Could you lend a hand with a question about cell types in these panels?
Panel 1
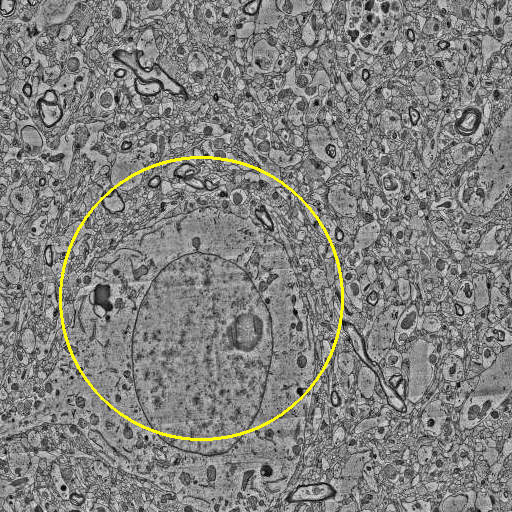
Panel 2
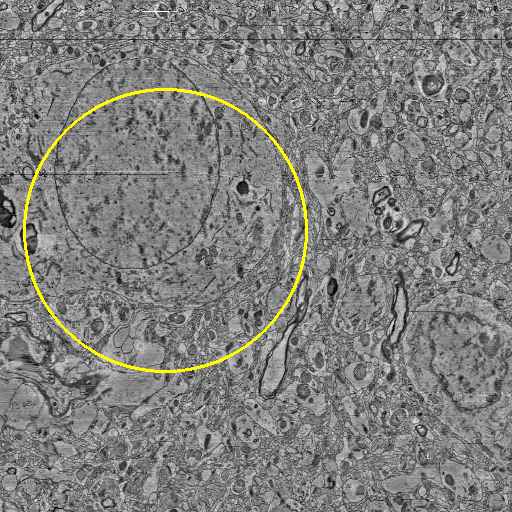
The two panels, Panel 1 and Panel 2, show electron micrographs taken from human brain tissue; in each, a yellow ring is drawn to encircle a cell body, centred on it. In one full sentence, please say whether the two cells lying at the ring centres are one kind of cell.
Yes, the cells at the ring centres in the two panels are one kind of cell.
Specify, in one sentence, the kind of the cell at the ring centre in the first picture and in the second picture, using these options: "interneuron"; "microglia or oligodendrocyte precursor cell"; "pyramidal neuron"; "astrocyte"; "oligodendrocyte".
Each cell at the centre of a ring is a pyramidal neuron.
